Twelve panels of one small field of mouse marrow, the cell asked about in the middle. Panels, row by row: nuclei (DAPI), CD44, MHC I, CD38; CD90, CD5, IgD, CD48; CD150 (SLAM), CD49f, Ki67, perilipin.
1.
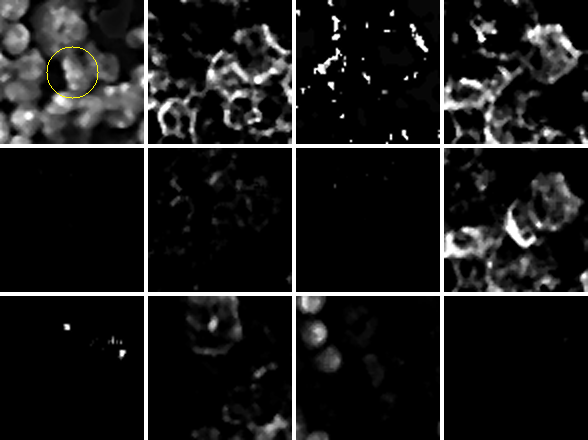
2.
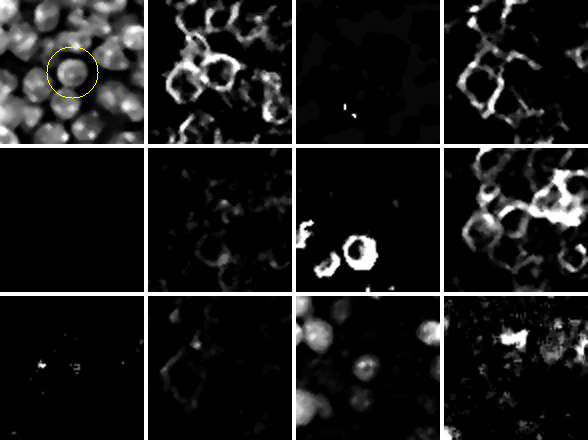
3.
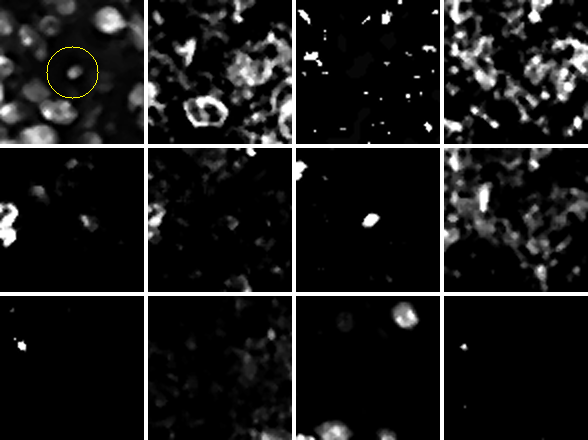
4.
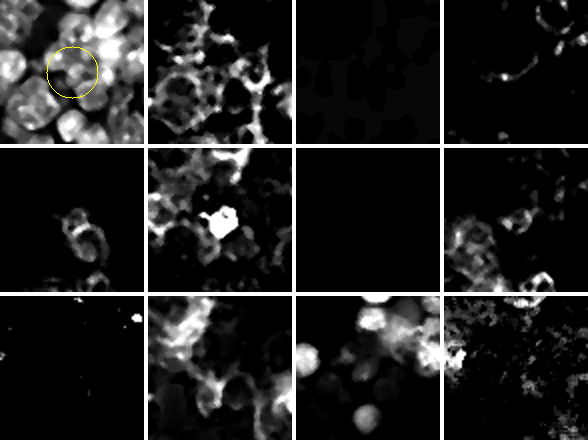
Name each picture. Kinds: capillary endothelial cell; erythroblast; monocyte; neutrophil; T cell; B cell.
1. capillary endothelial cell
2. capillary endothelial cell
3. B cell
4. T cell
